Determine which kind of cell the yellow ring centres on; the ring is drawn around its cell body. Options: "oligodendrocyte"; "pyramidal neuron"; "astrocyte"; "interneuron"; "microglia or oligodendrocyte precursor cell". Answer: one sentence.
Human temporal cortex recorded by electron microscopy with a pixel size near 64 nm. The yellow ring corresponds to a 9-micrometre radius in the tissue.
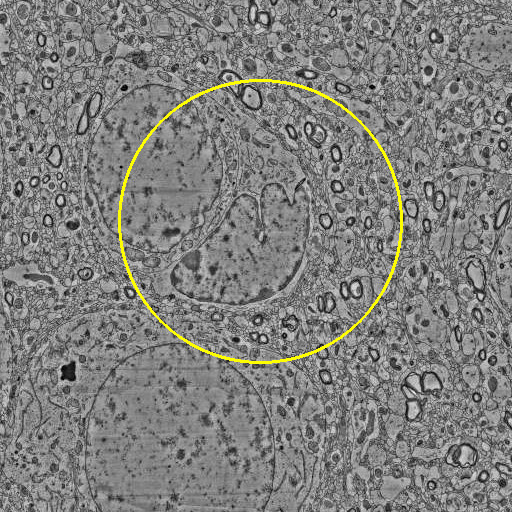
The ring centres on a microglial cell or oligodendrocyte precursor cell.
